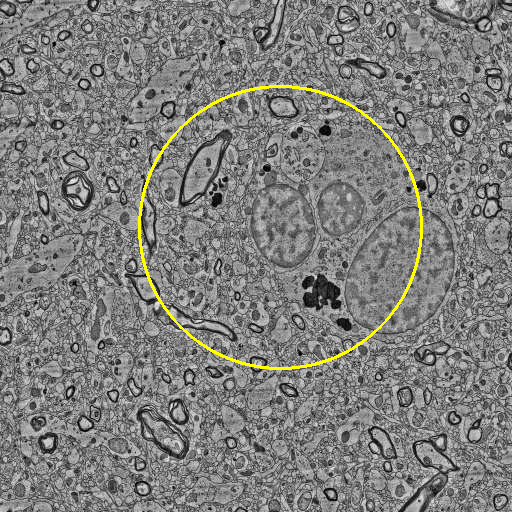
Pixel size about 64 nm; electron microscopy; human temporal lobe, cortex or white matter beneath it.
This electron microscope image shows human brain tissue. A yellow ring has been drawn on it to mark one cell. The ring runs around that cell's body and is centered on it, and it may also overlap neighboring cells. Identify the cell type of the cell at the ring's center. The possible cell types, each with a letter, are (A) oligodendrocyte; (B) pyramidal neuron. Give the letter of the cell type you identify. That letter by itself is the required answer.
A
